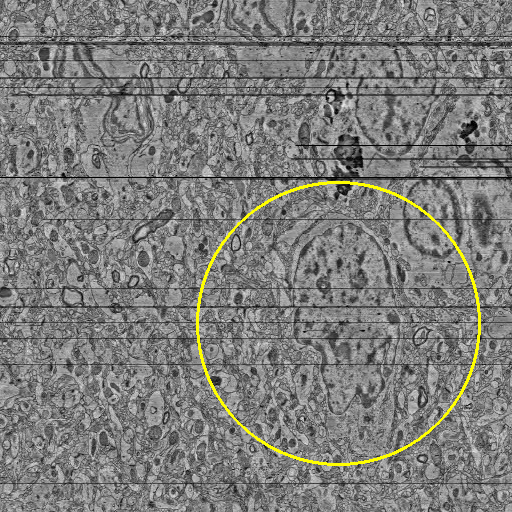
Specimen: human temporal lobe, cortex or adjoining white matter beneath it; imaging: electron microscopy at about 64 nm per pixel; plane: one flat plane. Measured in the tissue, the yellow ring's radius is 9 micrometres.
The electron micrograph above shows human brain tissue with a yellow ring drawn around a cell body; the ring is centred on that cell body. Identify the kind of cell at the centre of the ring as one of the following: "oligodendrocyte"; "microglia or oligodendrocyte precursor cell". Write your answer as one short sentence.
The cell at the centre of the ring is a microglial cell or oligodendrocyte precursor cell.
